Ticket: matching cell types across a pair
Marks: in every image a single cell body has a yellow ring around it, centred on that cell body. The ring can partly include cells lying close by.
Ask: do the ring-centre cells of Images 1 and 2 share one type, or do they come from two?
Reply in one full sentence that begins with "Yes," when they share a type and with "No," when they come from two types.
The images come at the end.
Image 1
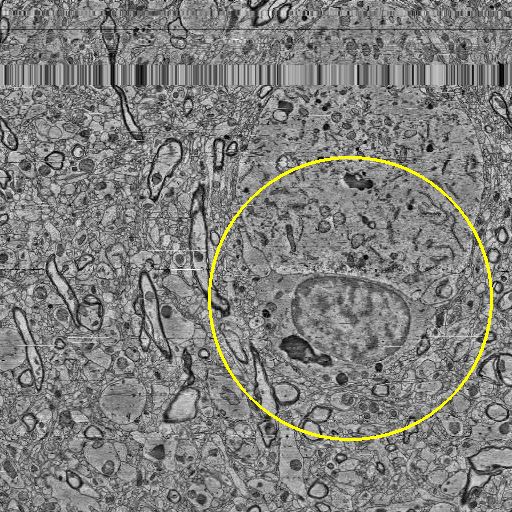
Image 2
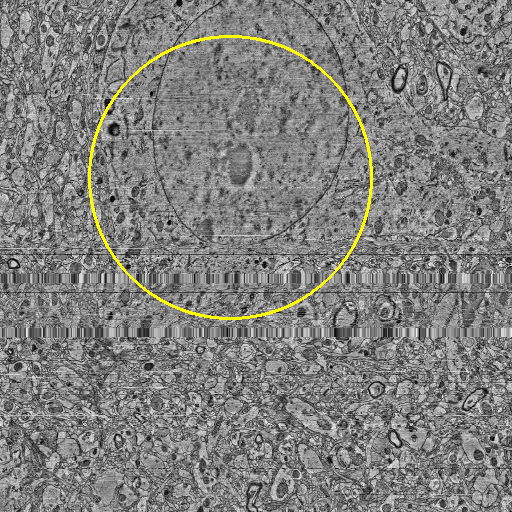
No, the cells in the centres of the rings in Image 1 and Image 2 come from two types.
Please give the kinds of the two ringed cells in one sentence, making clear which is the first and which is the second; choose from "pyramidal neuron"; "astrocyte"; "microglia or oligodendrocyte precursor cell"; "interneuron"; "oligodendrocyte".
In the second picture the ringed cell is a pyramidal neuron; in the first it is an oligodendrocyte.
